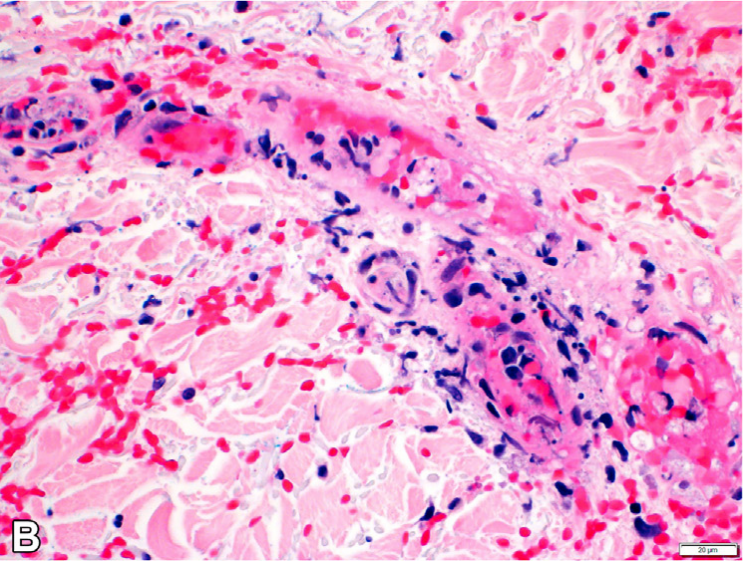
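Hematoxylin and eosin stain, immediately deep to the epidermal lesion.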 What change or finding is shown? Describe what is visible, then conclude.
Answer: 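Vascular damage. Small vessels have walls with dark, fragmented nuclear debris. Red blood cells lie scattered outside the vessels among the collagen.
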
